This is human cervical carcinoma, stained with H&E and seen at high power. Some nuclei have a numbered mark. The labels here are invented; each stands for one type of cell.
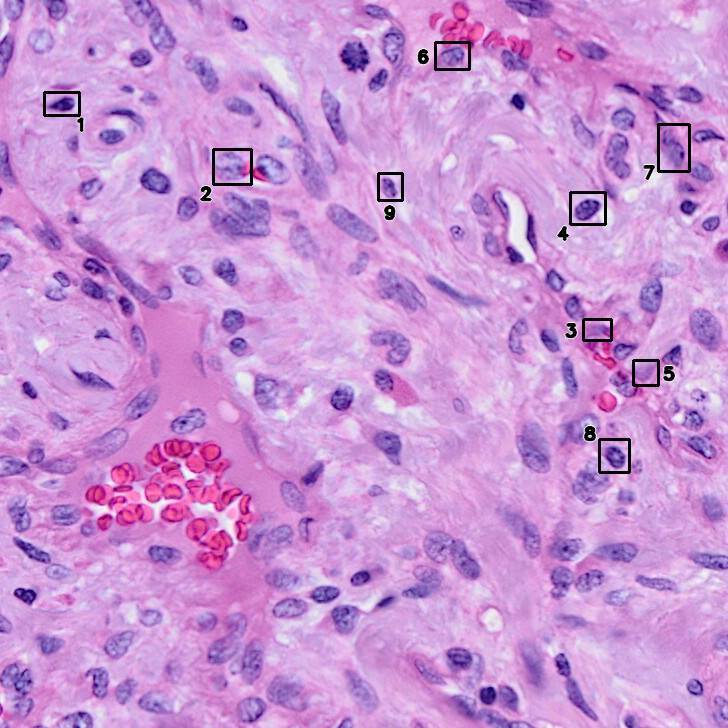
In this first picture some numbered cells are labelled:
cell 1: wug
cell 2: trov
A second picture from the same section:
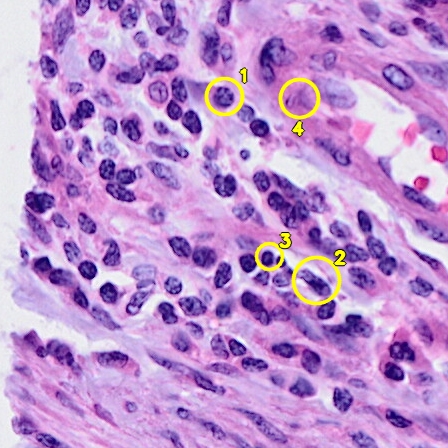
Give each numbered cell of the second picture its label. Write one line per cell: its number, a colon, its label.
1: wug
2: wug
3: wug
4: trov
